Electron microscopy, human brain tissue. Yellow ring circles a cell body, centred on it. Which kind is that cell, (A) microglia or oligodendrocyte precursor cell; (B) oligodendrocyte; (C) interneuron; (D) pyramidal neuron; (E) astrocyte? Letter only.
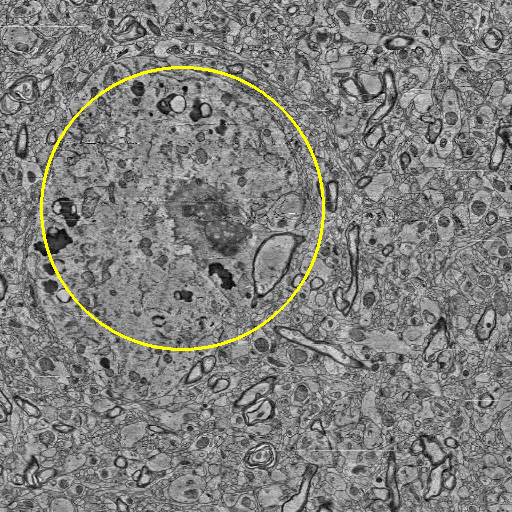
B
